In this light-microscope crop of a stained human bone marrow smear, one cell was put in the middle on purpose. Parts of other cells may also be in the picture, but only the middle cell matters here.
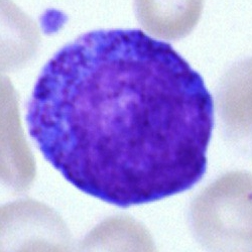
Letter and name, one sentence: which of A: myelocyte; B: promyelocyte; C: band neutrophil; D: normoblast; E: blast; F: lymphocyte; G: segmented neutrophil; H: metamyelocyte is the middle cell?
The centered cell is a promyelocyte, which is why option B is right.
